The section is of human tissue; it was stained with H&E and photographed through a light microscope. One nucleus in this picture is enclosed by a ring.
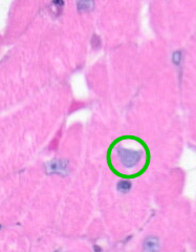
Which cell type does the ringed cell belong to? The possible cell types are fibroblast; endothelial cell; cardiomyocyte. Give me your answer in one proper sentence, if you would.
Among the cells in this section, the ringed cell is a cardiomyocyte.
